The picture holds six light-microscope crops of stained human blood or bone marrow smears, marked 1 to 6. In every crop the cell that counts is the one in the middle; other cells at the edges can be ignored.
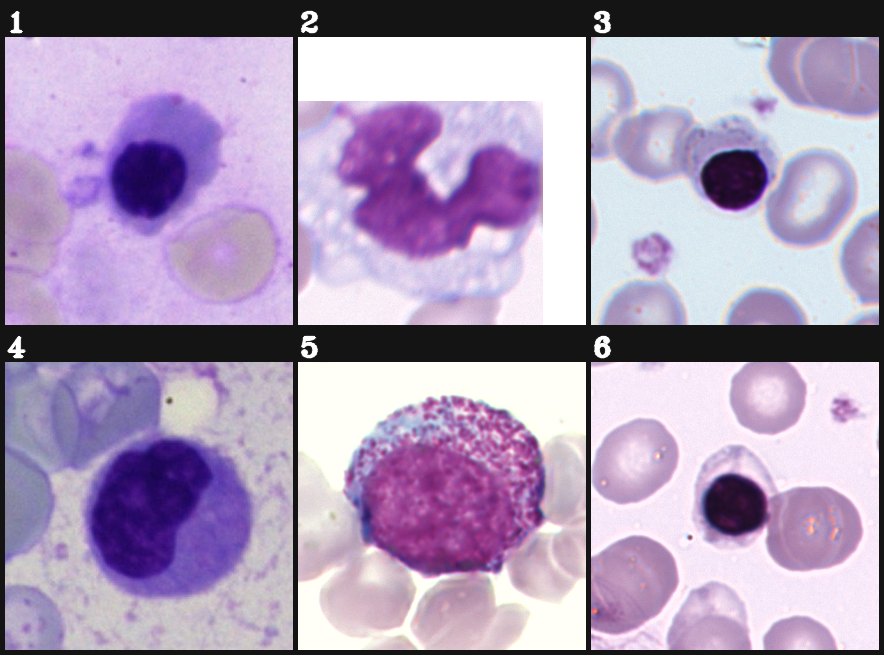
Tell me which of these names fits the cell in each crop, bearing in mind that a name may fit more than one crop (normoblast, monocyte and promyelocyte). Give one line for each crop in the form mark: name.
1: normoblast
2: monocyte
3: normoblast
4: monocyte
5: promyelocyte
6: normoblast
